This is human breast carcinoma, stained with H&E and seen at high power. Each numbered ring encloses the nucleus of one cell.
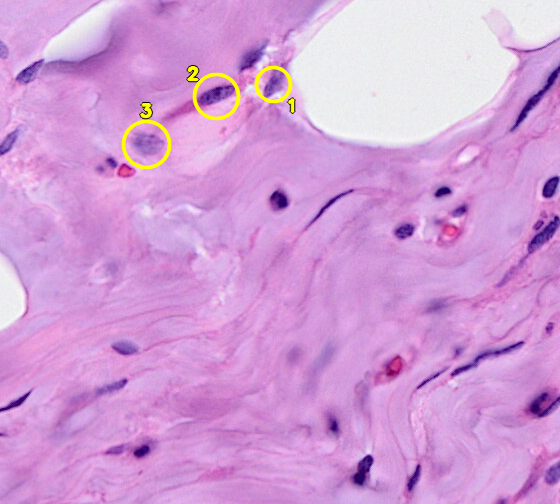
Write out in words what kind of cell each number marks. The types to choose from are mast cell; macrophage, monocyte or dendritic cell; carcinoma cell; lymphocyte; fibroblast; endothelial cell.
Cells 1 and 3 are fibroblasts. Cell 2 is a mast cell.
